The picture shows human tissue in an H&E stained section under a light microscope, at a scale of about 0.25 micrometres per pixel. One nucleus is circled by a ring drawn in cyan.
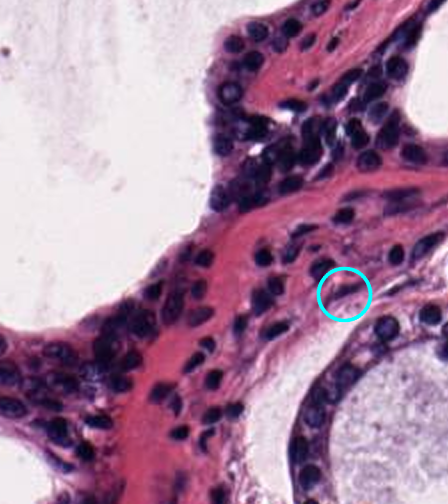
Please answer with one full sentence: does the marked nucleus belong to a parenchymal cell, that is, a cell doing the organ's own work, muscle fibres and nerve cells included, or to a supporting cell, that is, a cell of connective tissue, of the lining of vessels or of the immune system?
The marked nucleus, in this section, is the nucleus of a supporting cell.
